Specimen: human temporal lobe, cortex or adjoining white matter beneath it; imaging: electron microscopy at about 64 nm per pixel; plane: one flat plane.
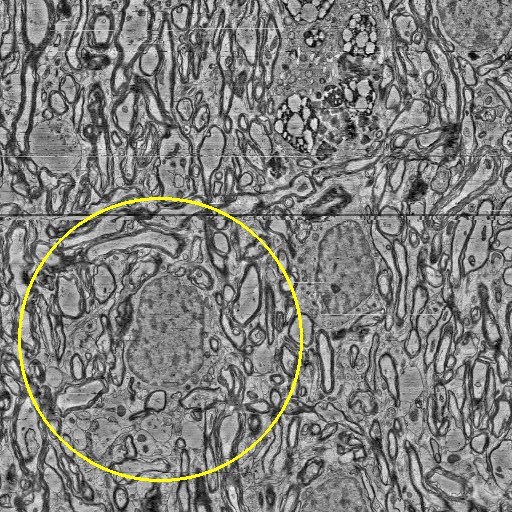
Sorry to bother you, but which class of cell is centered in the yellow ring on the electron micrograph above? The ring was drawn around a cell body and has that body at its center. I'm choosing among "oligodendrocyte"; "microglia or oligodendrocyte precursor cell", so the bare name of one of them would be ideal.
oligodendrocyte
